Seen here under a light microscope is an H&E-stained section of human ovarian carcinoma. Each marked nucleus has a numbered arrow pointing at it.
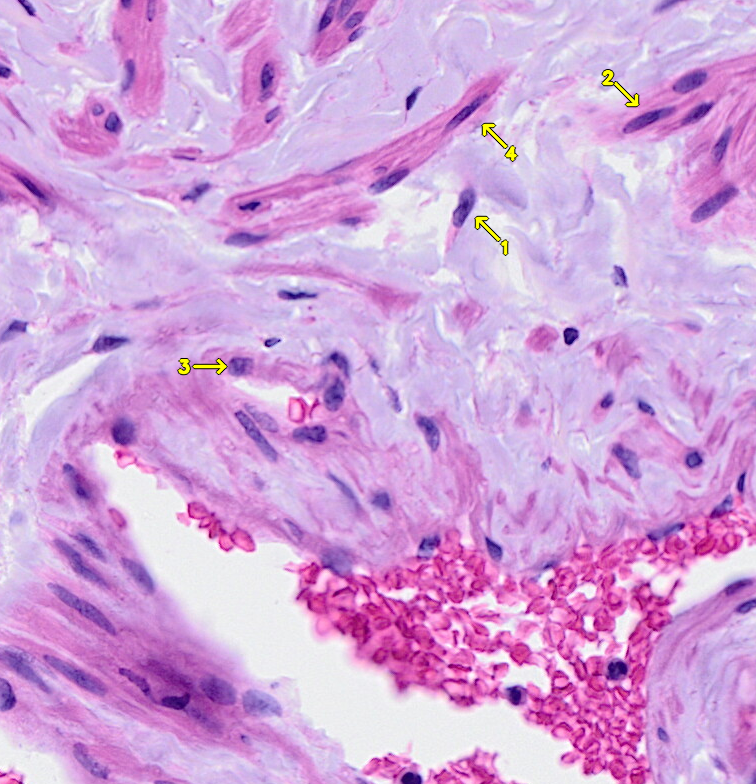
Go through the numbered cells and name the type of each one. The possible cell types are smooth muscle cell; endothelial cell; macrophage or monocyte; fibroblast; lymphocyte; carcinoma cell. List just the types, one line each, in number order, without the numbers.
fibroblast
smooth muscle cell
endothelial cell
smooth muscle cell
